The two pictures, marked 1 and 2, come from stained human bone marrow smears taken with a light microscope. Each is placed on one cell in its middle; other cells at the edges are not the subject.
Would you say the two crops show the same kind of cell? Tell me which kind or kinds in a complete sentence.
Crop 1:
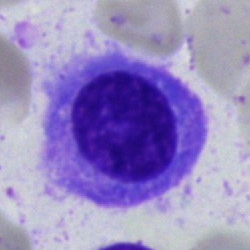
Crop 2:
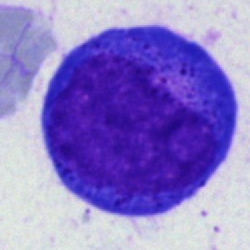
No, crop 1 shows a plasma cell, whereas in crop 2 the cell is a promyelocyte.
